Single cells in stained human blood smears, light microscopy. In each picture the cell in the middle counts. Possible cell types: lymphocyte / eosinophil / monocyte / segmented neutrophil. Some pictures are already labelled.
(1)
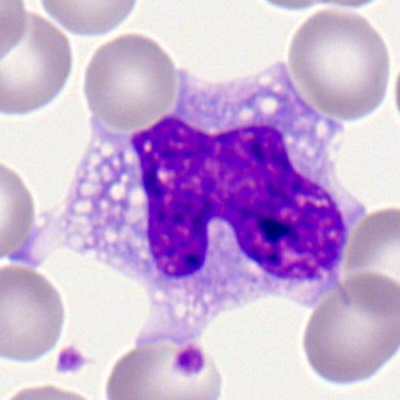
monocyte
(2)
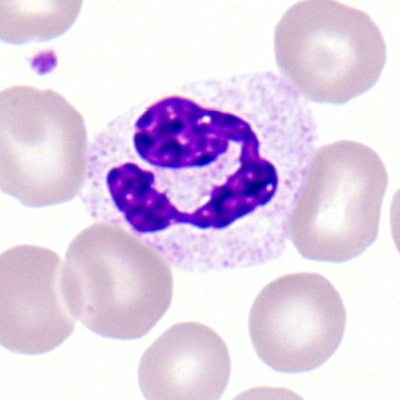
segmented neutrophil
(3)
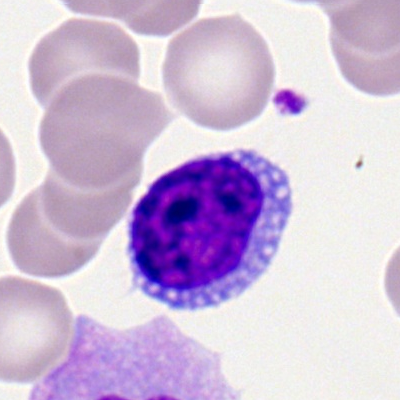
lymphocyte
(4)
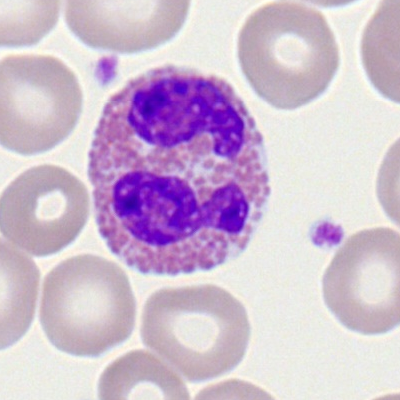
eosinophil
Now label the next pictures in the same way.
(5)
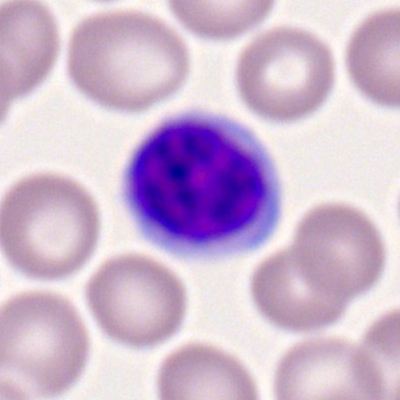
lymphocyte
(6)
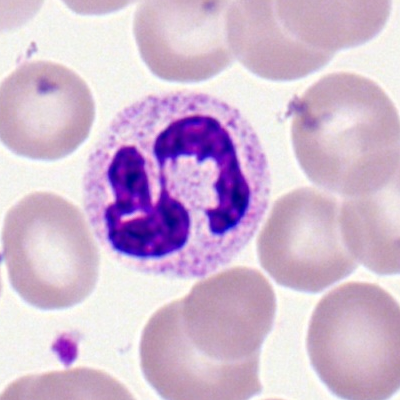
segmented neutrophil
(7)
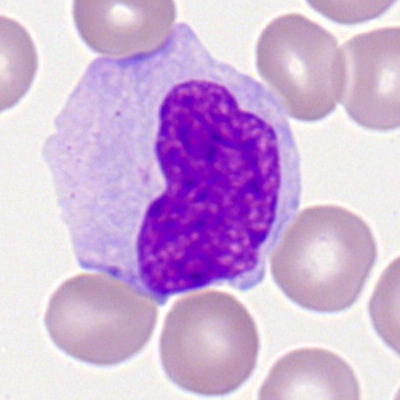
monocyte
